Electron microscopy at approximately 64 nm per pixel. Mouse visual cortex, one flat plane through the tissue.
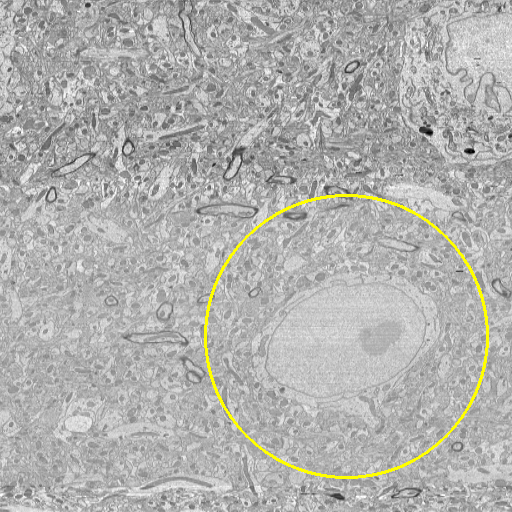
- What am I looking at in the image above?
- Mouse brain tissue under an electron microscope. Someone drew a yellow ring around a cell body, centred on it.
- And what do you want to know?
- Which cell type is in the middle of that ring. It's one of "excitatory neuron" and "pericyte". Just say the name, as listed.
excitatory neuron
